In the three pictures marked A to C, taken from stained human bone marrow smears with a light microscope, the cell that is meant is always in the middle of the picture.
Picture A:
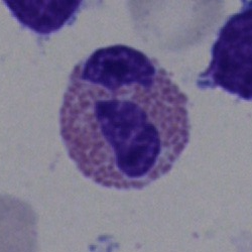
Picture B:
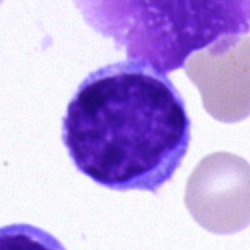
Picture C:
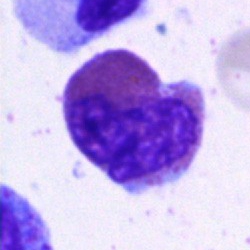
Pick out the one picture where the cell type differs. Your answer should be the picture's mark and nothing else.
B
